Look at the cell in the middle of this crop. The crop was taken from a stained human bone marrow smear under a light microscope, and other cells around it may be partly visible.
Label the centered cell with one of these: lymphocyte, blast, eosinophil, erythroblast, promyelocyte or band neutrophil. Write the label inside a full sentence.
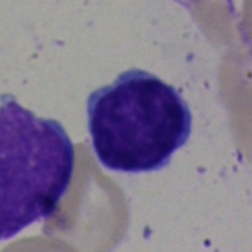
The cell marked by its central position in the crop is a lymphocyte.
